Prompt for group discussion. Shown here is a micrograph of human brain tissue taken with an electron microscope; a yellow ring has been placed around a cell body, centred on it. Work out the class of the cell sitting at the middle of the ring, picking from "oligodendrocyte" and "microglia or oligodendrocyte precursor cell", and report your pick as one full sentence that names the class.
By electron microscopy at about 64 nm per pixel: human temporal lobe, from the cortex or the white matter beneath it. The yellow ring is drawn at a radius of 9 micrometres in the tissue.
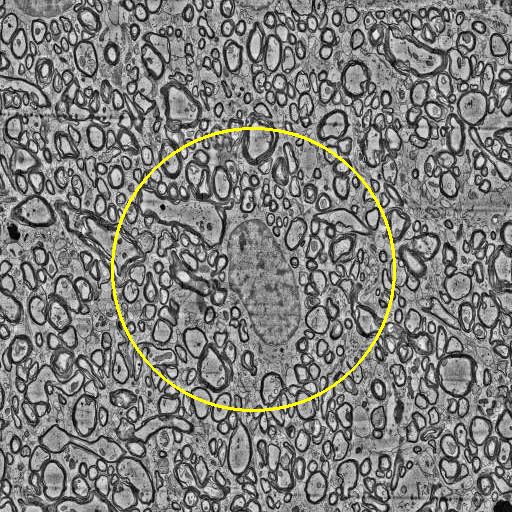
The cell sitting at the middle of the yellow ring is an oligodendrocyte.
